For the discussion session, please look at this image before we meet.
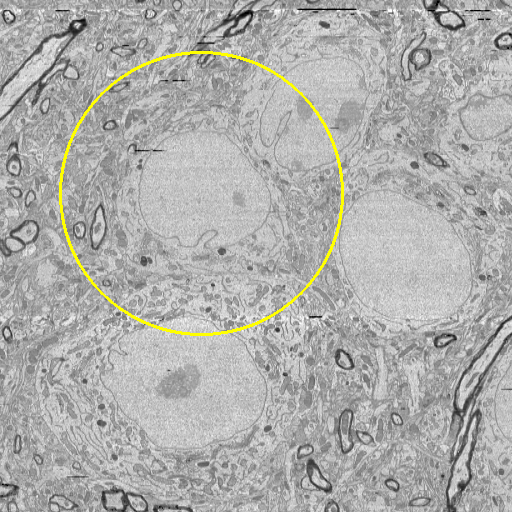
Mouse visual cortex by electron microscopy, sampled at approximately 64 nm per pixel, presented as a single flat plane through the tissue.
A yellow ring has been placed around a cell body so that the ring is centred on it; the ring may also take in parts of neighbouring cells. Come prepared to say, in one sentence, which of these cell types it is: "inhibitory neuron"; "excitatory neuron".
The cell centred in the ring is an excitatory neuron.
